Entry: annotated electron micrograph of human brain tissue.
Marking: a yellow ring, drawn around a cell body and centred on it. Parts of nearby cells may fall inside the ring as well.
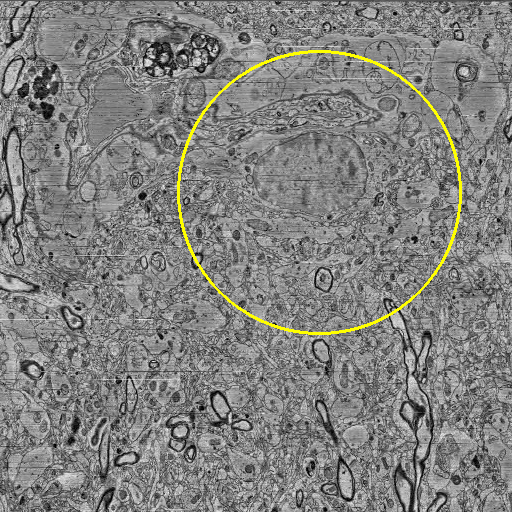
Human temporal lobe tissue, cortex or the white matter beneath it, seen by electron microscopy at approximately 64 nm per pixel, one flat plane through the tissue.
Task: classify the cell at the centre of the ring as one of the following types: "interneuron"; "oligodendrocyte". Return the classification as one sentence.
The marked cell is classified as an oligodendrocyte.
